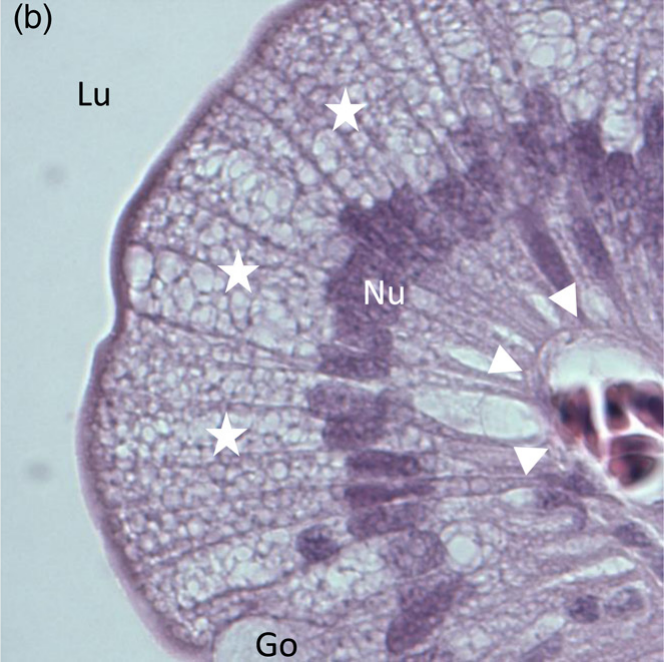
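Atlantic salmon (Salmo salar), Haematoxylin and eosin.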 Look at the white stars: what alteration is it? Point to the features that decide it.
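Increased vacuolisation in supranuclear region of enterocytes. Many clear, round vacuoles fill the cytoplasm of the columnar cells. The vacuoles lie between the row of nuclei and the luminal surface.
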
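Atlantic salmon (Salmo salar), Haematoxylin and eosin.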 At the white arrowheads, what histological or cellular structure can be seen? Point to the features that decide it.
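The arrowheads point to a thin boundary at the base of the epithelial cells. The boundary lies where the epithelium meets the central core, which holds red-stained blood cells.
Answer: basal lamina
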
